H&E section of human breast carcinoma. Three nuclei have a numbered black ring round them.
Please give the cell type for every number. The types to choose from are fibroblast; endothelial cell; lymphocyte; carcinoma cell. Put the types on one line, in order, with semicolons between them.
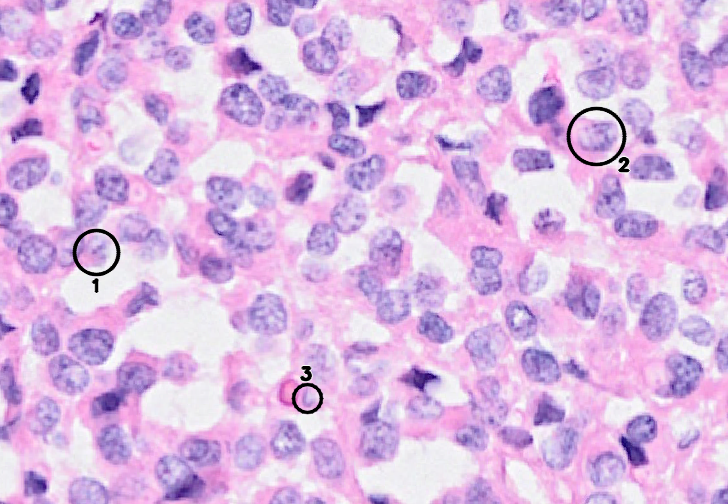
carcinoma cell; carcinoma cell; endothelial cell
